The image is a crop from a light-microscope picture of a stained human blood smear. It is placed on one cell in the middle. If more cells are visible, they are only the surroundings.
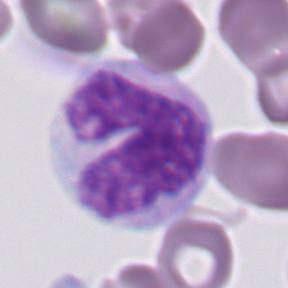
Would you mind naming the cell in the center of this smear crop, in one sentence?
The cell occupying the middle of the crop is a band neutrophil.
